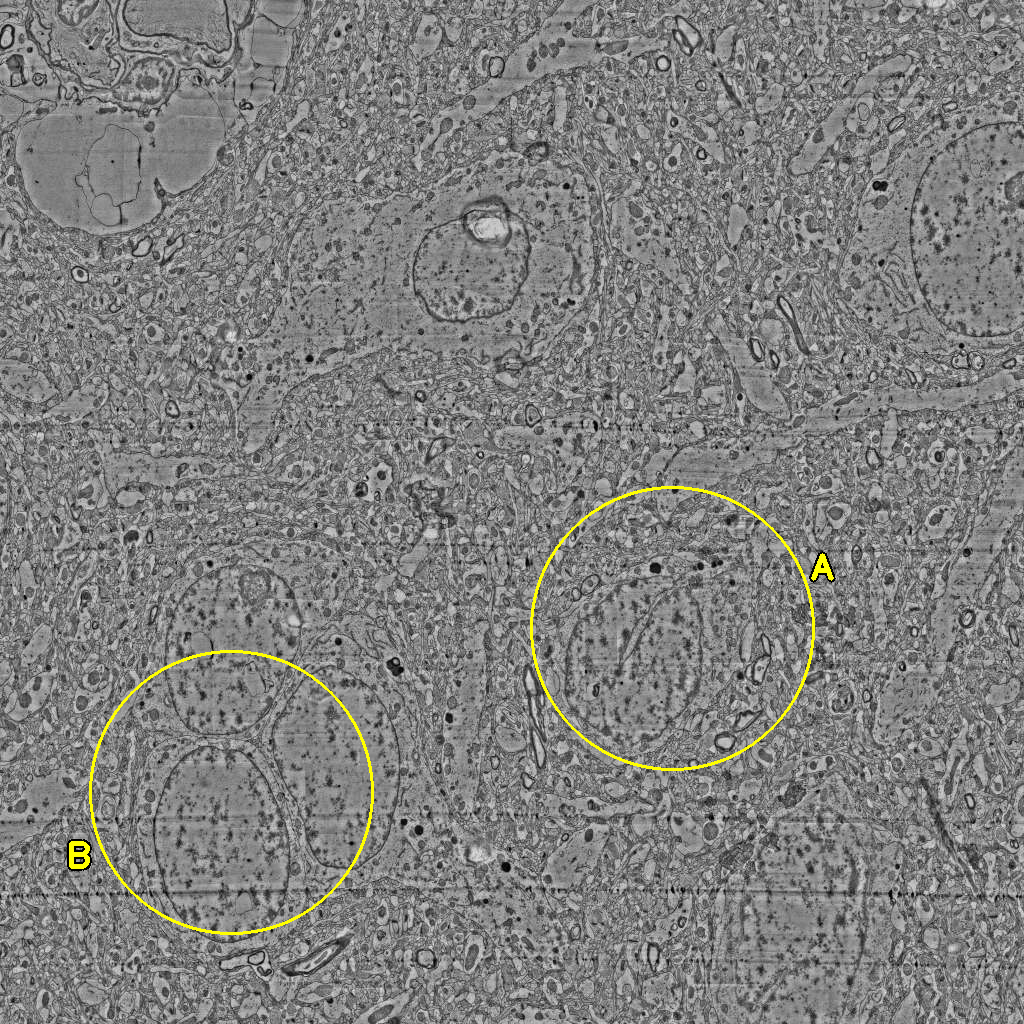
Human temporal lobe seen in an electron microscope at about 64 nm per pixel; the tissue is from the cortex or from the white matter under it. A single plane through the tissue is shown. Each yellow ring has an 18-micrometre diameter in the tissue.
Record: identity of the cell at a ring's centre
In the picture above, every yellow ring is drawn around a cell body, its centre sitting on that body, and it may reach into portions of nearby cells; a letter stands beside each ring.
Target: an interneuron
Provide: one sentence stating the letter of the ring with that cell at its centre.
The letter of the ring centred on a cell of that kind is A.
